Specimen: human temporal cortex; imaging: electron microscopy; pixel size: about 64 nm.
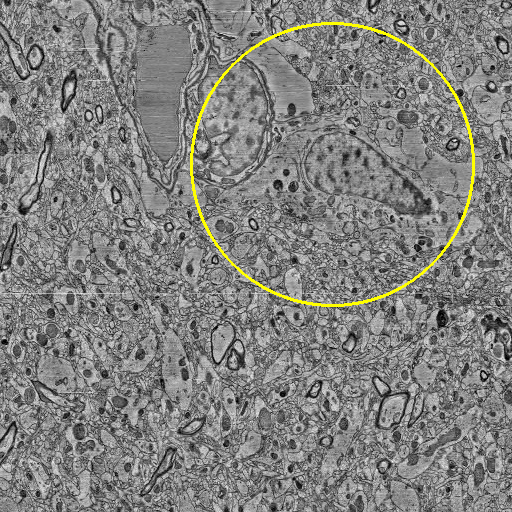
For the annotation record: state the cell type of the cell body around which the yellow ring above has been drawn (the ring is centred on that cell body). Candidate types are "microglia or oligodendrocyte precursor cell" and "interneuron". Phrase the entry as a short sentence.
The ringed cell is a microglial cell or oligodendrocyte precursor cell.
